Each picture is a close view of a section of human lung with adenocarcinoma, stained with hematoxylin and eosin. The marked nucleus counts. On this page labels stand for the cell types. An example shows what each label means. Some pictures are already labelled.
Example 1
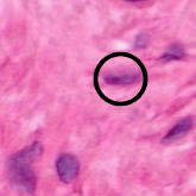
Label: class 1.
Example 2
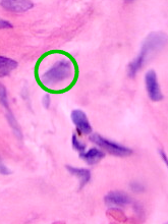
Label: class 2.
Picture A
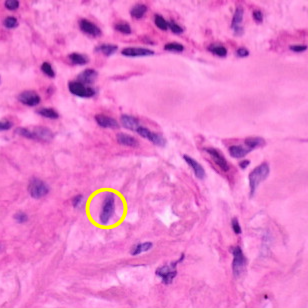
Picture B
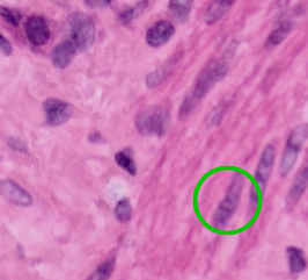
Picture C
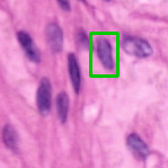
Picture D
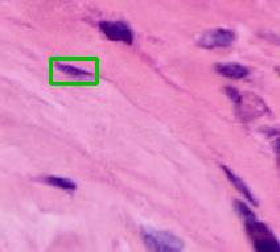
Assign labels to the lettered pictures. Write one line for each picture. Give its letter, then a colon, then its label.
A: class 1.
B: class 1.
C: class 1.
D: class 2.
